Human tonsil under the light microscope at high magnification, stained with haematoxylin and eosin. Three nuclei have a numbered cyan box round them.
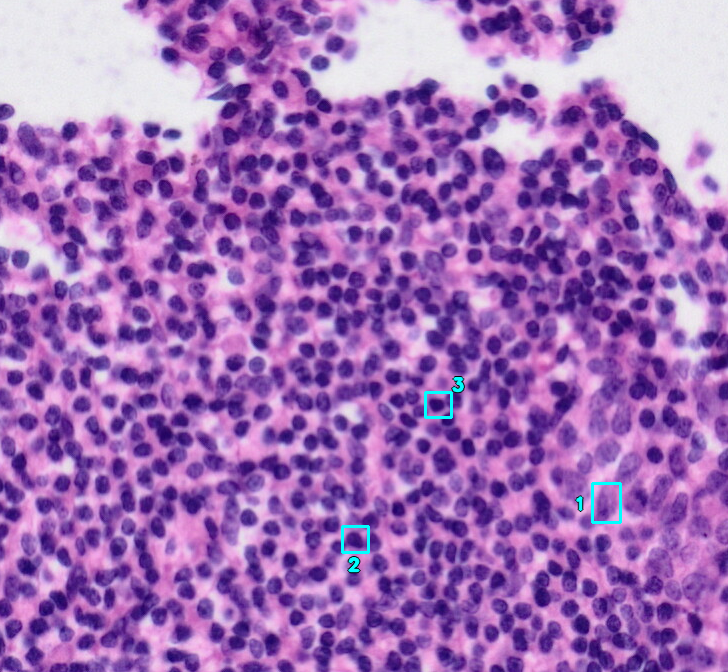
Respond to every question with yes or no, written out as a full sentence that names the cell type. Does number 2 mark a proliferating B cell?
No; cell 2 is a small lymphocyte, not a proliferating B cell.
